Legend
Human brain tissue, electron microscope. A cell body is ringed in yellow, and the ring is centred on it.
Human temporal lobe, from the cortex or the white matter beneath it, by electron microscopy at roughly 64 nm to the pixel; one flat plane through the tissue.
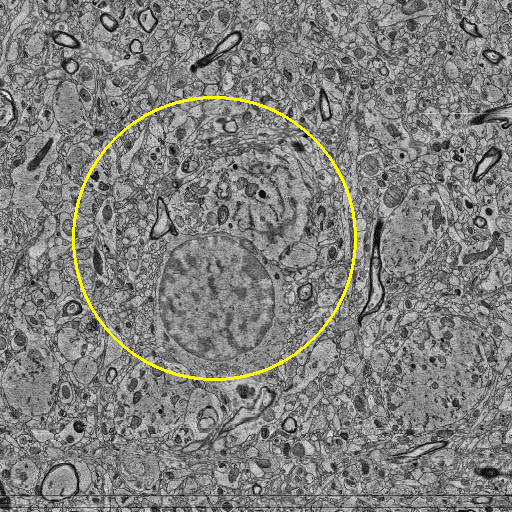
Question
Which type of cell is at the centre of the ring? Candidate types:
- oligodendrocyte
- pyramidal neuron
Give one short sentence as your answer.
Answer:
The yellow ring is centred here on an oligodendrocyte.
